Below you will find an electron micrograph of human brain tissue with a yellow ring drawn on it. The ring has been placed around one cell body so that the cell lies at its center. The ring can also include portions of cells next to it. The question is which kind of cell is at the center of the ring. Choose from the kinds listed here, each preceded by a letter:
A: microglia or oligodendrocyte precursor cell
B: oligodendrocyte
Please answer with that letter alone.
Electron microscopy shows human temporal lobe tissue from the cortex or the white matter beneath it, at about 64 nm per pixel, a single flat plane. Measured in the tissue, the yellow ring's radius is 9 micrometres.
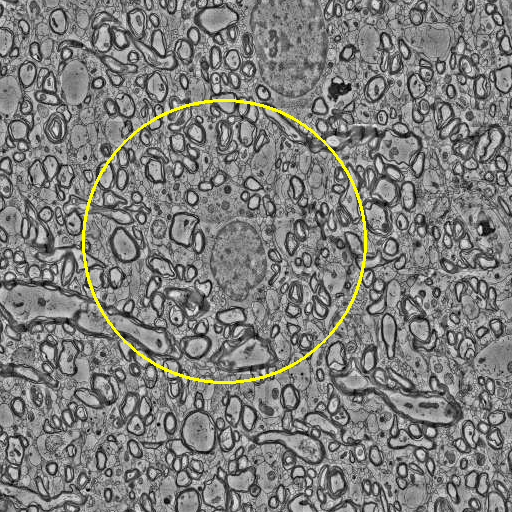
B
